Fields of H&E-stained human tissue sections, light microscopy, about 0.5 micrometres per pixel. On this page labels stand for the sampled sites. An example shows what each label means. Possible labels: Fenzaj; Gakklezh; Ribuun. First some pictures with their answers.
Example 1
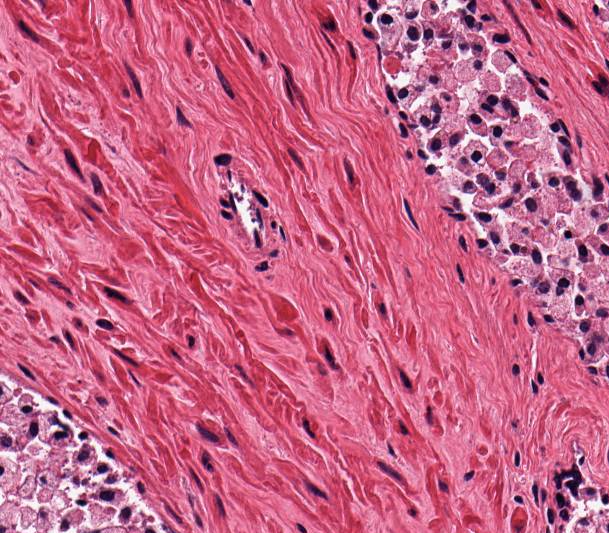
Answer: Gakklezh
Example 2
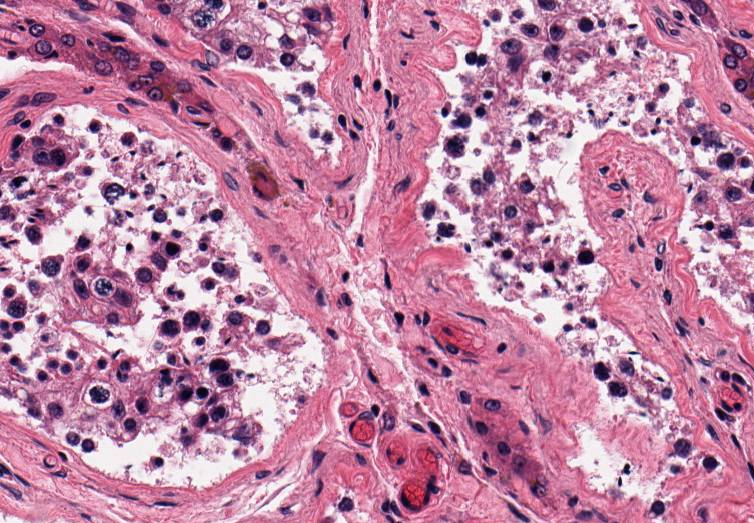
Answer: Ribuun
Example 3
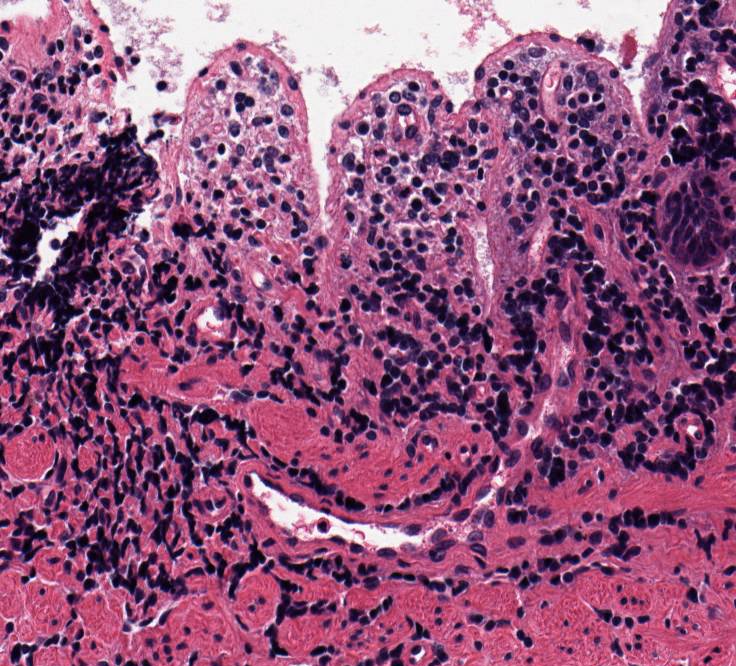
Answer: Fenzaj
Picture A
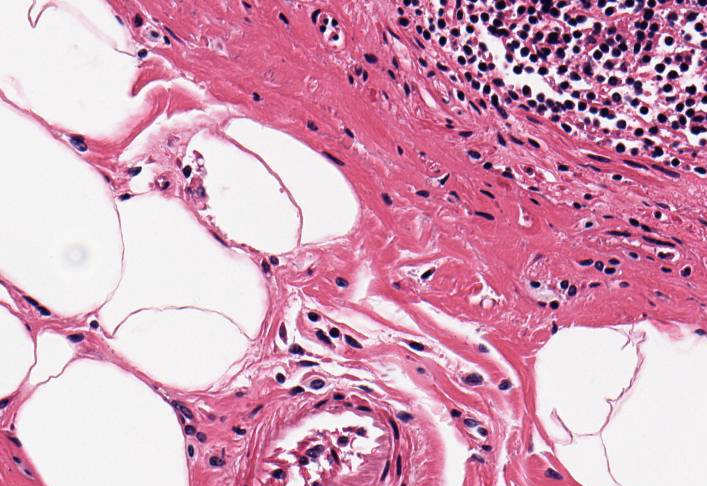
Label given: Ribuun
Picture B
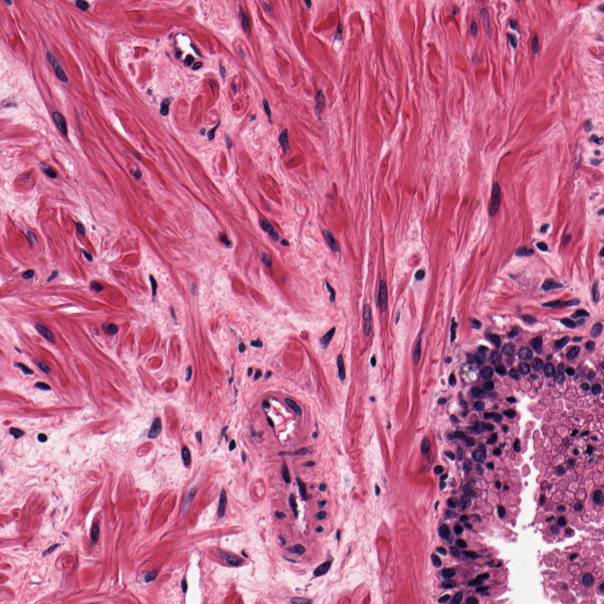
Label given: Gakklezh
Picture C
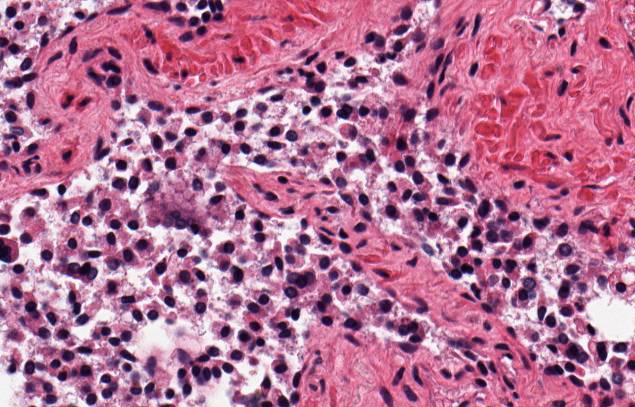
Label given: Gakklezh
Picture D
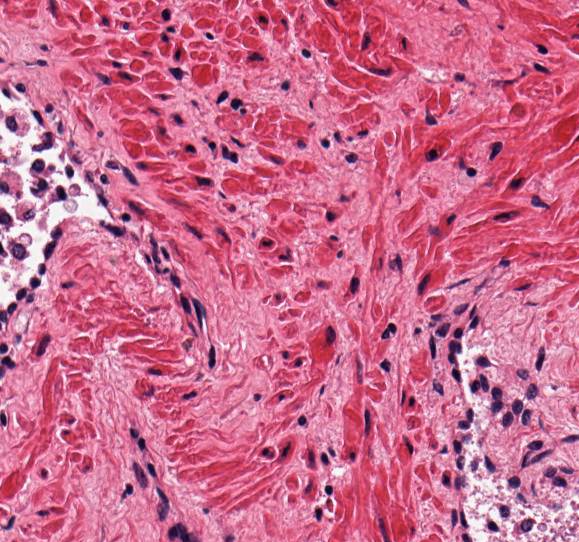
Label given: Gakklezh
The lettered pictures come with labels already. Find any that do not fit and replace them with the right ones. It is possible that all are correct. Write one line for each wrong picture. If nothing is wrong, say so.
A is labelled Ribuun; correct label: Fenzaj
